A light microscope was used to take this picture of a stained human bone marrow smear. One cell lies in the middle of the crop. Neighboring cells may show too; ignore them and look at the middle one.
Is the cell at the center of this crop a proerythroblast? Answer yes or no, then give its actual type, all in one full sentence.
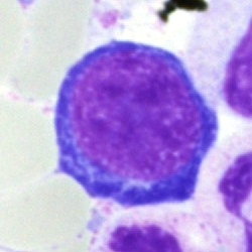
Yes, in the centre of this field sits a proerythroblast.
